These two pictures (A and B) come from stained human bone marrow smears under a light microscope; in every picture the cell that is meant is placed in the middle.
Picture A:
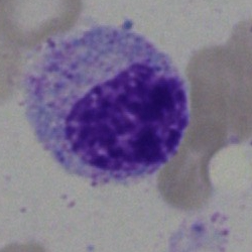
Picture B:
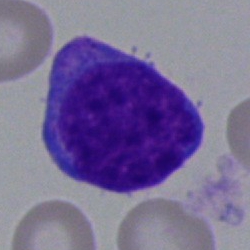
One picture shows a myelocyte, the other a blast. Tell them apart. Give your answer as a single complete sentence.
Picture A shows a myelocyte and picture B shows a blast.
